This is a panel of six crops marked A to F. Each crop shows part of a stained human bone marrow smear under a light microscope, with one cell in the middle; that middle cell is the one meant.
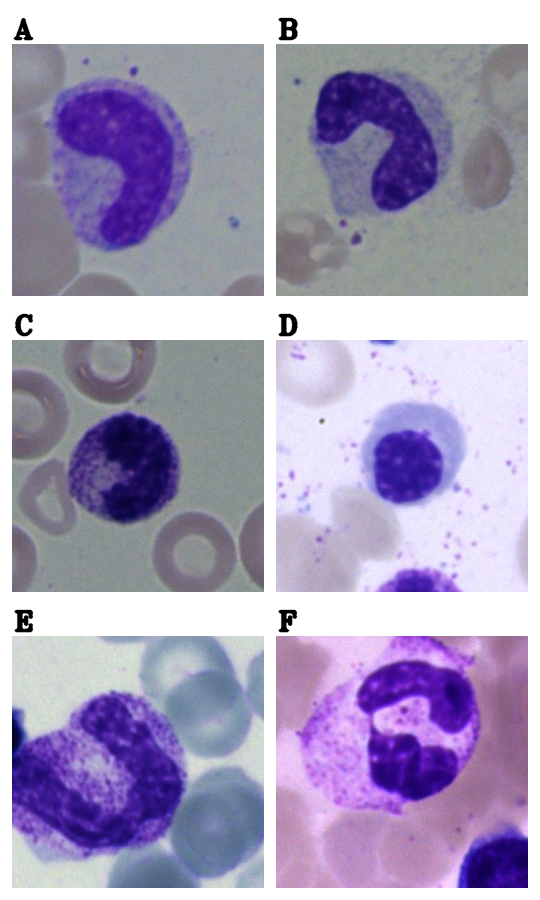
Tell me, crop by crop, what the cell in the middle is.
A: band neutrophil
B: band neutrophil
C: segmented neutrophil
D: normoblast
E: band neutrophil
F: segmented neutrophil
